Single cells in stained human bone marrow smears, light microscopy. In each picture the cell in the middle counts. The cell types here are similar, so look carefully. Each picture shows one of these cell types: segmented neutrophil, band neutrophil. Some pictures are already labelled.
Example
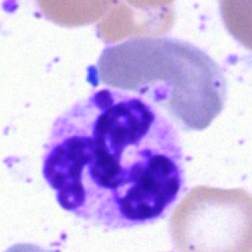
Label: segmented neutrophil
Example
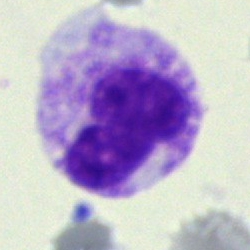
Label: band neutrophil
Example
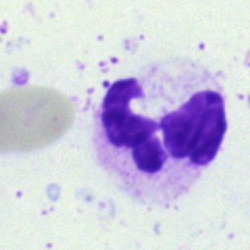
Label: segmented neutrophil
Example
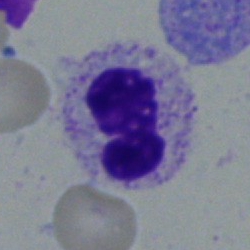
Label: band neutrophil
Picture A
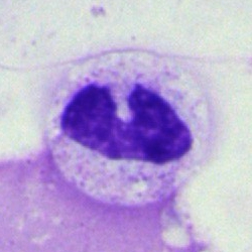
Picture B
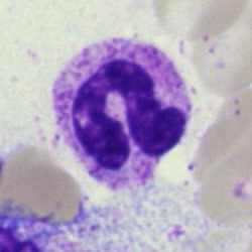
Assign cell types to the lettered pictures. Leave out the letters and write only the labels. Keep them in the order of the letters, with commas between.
segmented neutrophil, segmented neutrophil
